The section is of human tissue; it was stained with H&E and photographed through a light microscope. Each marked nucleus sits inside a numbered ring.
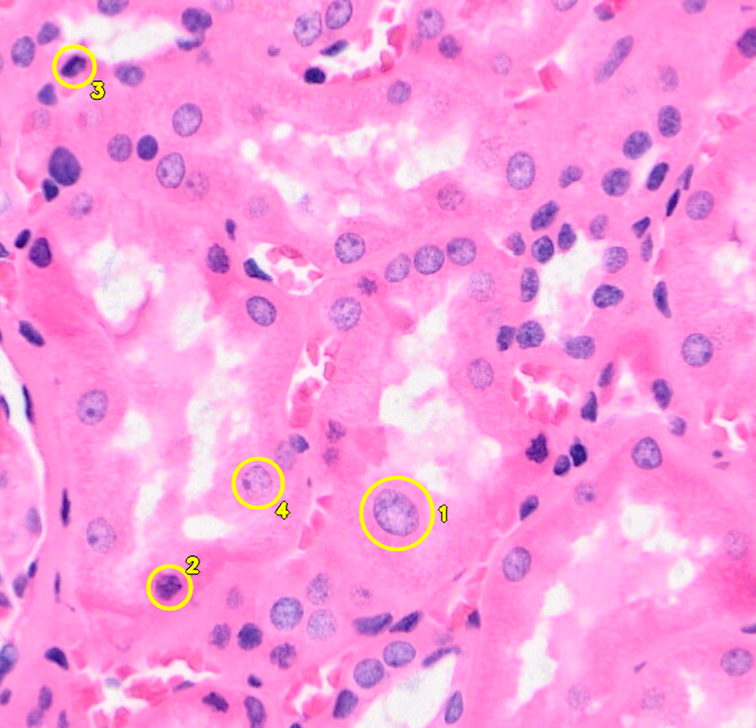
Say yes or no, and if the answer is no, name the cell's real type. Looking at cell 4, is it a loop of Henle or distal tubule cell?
No, it is a proximal tubule cell.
